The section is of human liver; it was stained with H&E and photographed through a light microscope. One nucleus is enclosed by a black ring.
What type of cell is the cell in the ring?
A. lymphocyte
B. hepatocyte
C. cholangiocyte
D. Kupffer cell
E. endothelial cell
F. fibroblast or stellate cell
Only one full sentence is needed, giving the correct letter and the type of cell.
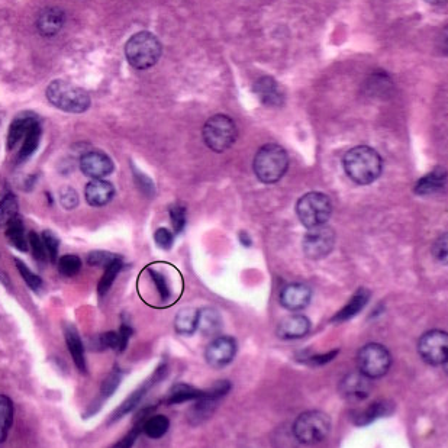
In this item, the cell in the ring is a fibroblast or stellate cell, and option F is right.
